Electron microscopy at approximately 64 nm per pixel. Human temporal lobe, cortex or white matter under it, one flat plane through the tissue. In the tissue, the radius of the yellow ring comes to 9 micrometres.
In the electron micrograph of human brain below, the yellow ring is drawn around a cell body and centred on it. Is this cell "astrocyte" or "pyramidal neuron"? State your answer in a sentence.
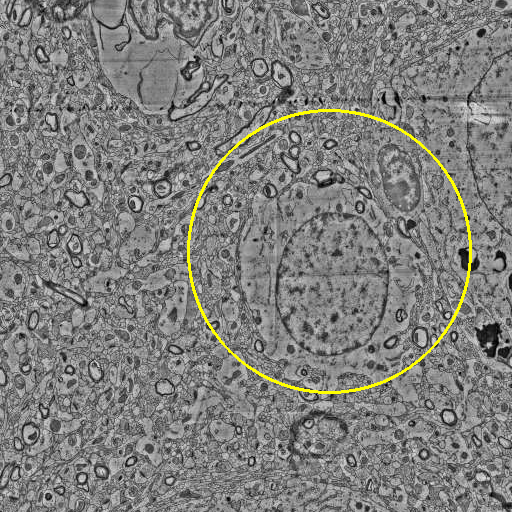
The cell in the middle of the ring is an astrocyte.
